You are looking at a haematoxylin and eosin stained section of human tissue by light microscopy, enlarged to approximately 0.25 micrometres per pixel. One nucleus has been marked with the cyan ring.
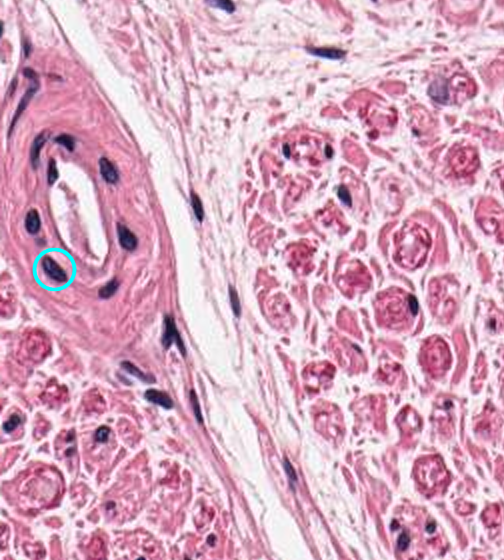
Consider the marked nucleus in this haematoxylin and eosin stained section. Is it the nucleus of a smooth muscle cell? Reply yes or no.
yes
